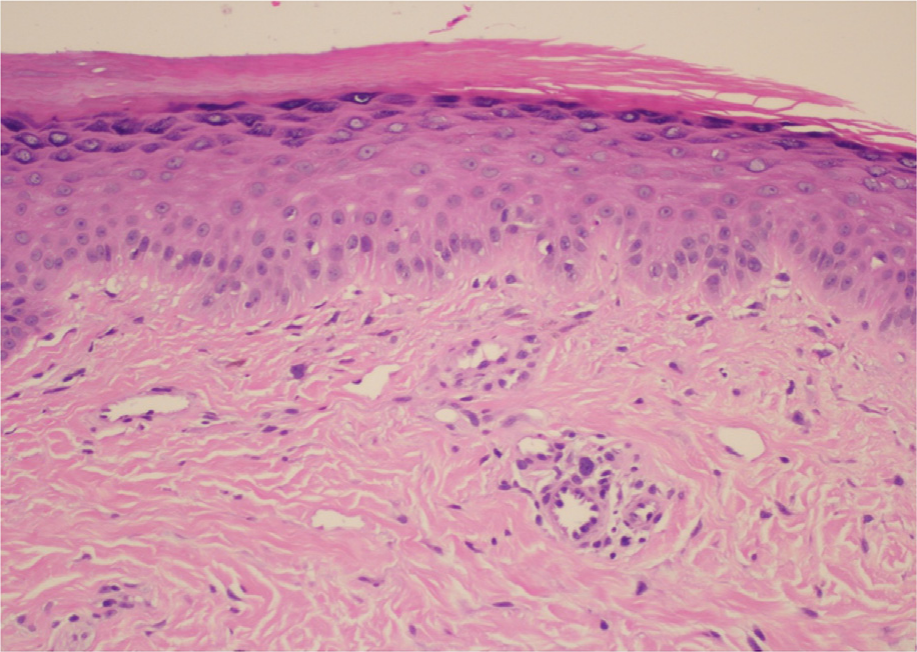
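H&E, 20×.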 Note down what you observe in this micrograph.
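A section of skin shows the epidermis above and the dermis below. At the top lies a thick, pink, compact and partly laminated keratin layer. Beneath it is a thin band of dark purple cells with flattened nuclei. Below that are several rows of polygonal keratinocytes with round nuclei and pale pink cytoplasm. The dermis consists of wavy, pink collagen bundles. Scattered spindle-shaped nuclei lie among the bundles, along with small round to oval vessel lumina lined by plump nuclei. There are only sparse inflammatory cells.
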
